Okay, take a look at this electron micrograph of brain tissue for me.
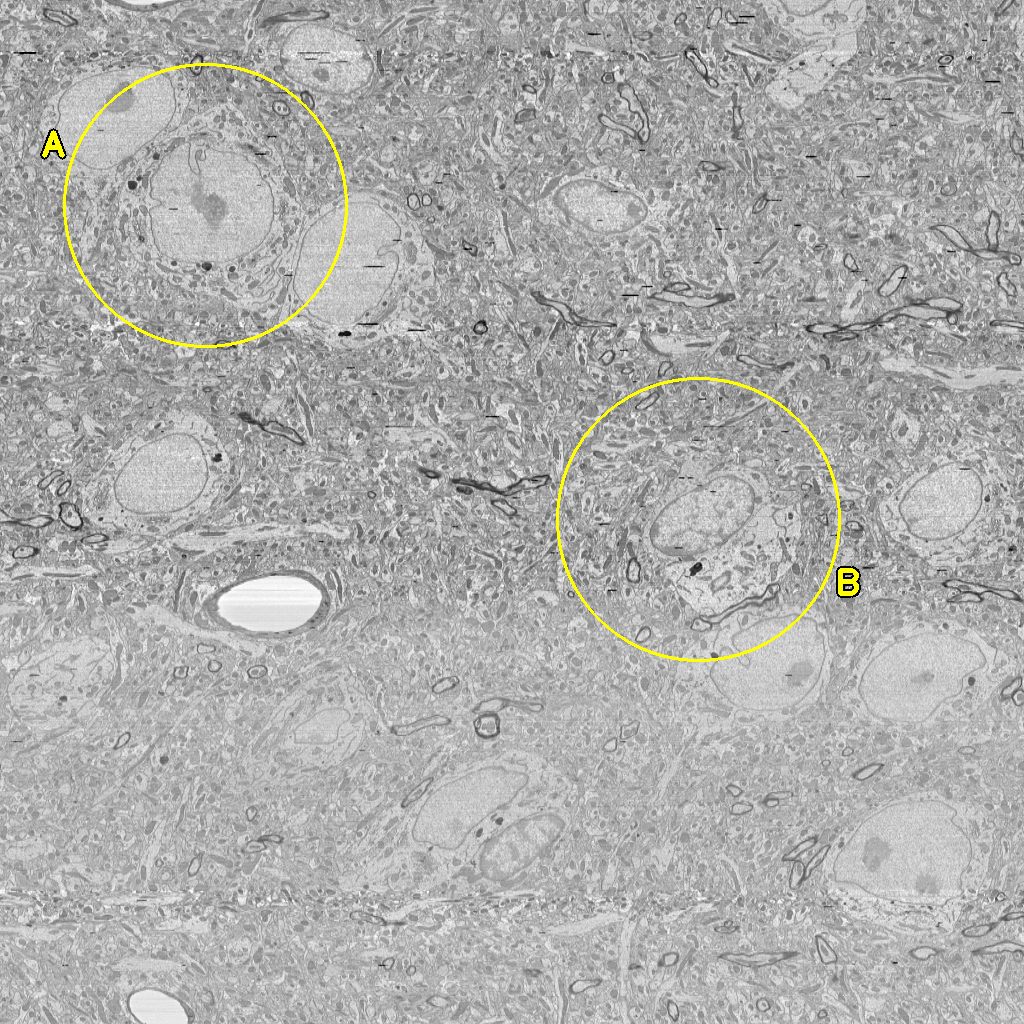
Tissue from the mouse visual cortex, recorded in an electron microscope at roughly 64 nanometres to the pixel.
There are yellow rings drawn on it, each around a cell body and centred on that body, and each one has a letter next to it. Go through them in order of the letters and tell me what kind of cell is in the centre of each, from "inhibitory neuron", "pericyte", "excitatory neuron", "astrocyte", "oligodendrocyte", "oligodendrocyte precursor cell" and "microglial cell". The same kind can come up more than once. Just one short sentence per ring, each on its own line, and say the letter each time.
In the centre of ring A there's an inhibitory neuron.
In the centre of ring B there's an oligodendrocyte.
